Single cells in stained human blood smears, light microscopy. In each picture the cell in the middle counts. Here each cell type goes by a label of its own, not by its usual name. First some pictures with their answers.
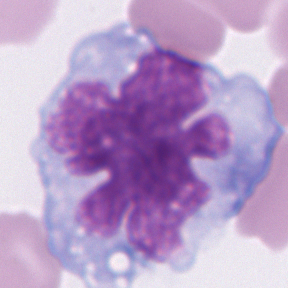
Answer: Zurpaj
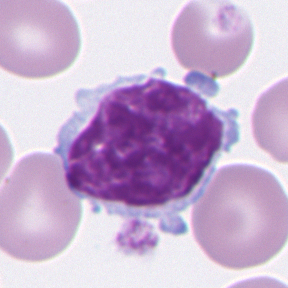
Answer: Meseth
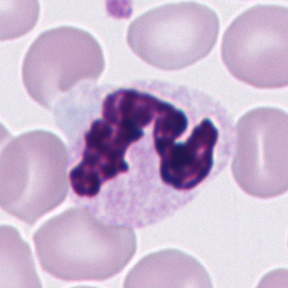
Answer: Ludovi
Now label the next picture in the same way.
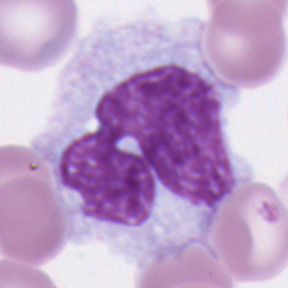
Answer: Zurpaj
